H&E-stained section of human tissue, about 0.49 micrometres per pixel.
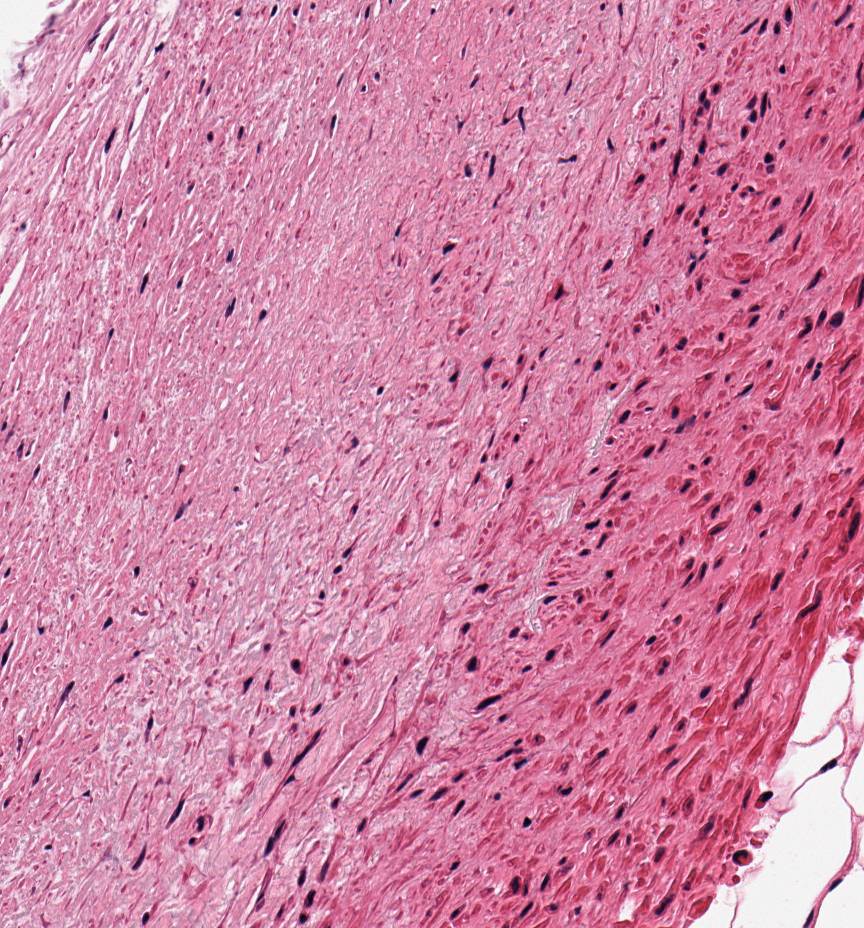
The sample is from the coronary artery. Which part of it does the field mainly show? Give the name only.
tunica intima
